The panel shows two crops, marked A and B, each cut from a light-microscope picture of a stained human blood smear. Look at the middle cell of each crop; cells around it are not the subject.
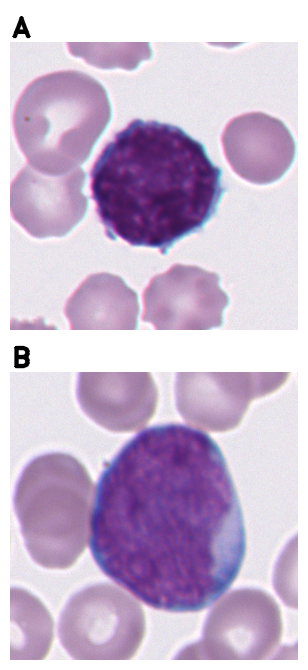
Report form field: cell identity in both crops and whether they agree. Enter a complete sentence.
No, crop B shows a blast, and crop A shows a lymphocyte.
